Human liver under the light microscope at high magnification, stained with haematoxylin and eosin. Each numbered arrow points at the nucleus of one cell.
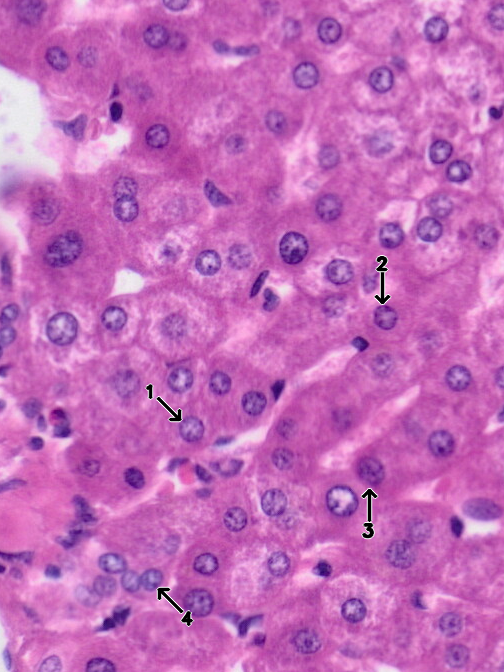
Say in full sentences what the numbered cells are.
Cells 1, 2 and 3 are hepatocytes. Cell 4 is a cholangiocyte.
